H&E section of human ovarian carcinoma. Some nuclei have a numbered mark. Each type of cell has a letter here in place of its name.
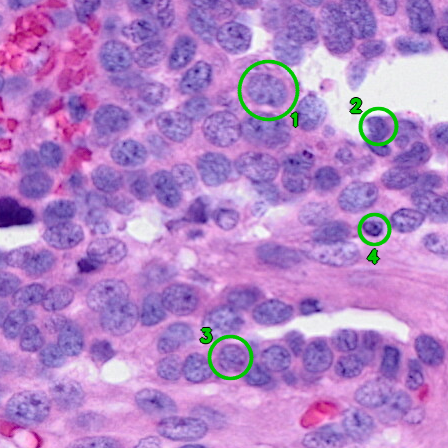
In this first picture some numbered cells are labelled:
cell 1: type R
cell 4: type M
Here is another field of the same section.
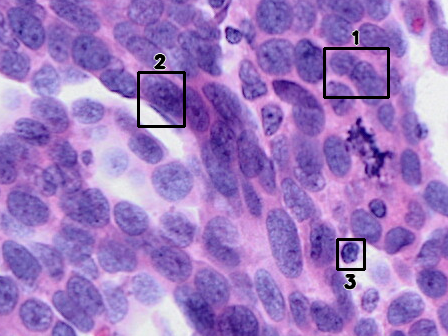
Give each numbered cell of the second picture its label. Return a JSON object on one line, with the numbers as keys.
{"1": "type R", "2": "type R", "3": "type M"}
